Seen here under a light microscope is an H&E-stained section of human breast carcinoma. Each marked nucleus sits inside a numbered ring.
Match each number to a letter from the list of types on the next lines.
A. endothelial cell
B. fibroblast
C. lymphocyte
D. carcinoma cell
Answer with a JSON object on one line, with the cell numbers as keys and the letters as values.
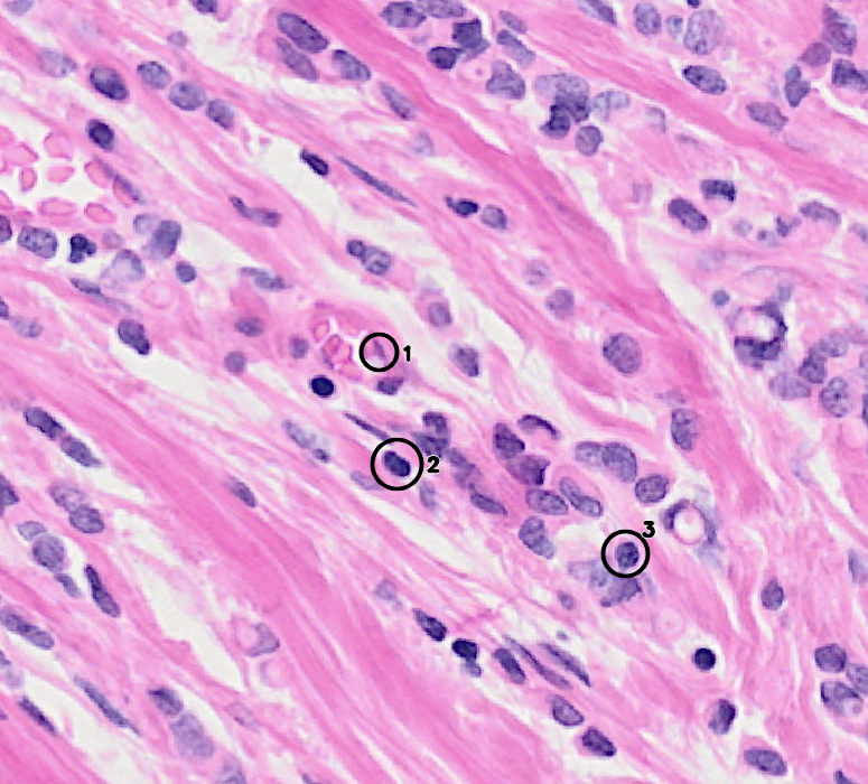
{"1": "A", "2": "C", "3": "C"}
